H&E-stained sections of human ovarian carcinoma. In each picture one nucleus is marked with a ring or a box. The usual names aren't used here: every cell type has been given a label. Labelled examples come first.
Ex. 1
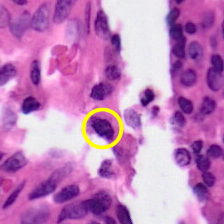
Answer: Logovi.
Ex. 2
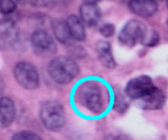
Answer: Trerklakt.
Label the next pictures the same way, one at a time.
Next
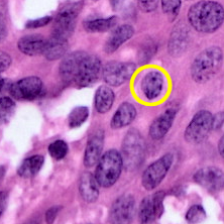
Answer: Logovi.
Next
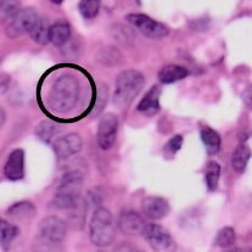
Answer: Trerklakt.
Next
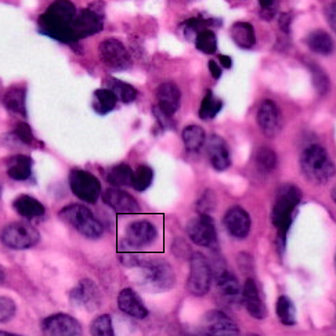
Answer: Logovi.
